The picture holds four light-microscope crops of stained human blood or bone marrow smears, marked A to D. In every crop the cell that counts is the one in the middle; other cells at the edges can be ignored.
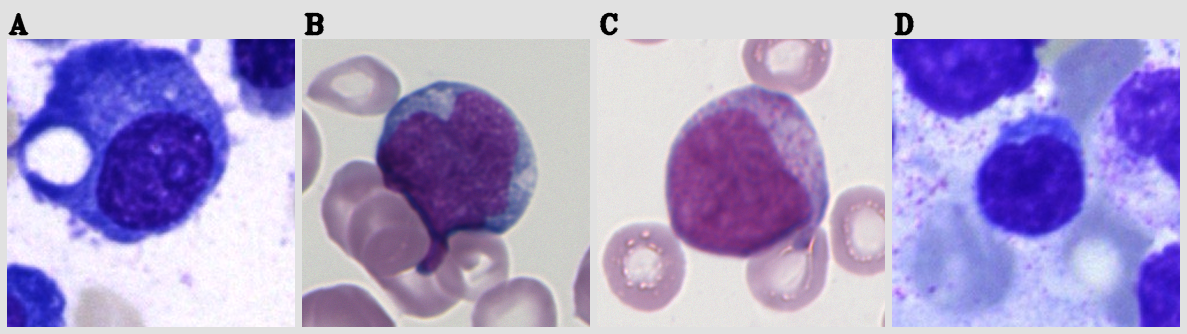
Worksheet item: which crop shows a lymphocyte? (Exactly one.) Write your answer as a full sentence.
Of the labelled crops, the one that shows a lymphocyte is crop D.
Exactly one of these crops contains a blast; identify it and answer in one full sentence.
The cell at the center of crop B is the one that is a blast.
